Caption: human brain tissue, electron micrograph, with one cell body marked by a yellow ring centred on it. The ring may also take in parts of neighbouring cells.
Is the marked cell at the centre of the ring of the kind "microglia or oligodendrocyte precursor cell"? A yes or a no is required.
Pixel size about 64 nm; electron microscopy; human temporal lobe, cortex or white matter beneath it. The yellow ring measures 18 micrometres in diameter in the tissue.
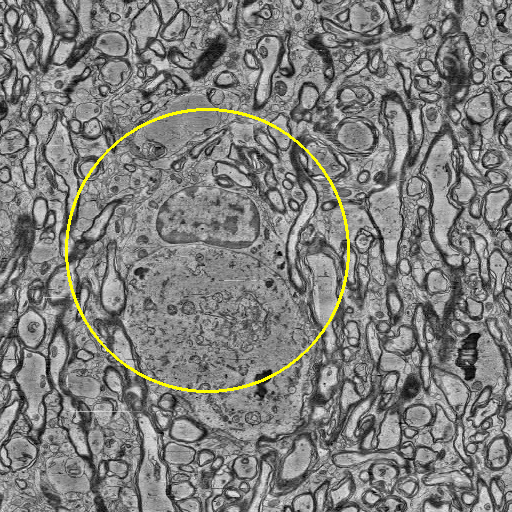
yes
